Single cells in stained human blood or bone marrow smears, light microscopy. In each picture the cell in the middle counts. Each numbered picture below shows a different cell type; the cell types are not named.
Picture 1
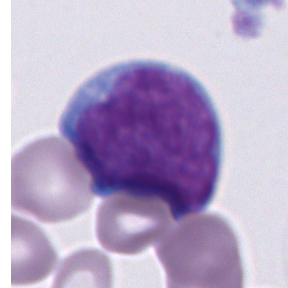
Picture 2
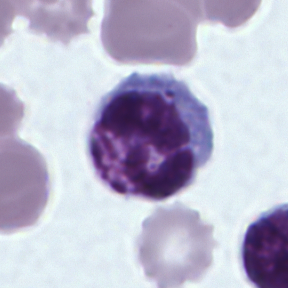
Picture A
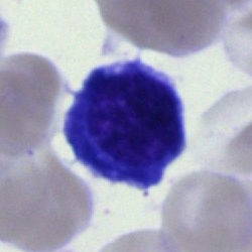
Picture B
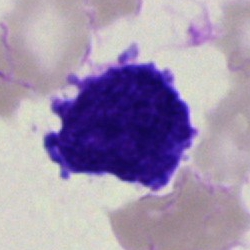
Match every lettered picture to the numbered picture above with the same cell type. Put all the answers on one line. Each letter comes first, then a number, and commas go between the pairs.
A 2, B 1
